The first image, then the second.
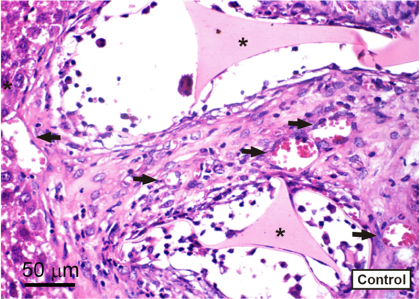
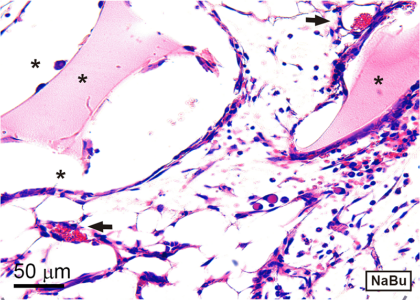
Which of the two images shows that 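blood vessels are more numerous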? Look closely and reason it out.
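Second image: only a couple of small vessels with red blood cells in loose tissue. First image: several vessel lumens with red blood cells scattered through dense cellular tissue. On this evidence: the first image.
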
